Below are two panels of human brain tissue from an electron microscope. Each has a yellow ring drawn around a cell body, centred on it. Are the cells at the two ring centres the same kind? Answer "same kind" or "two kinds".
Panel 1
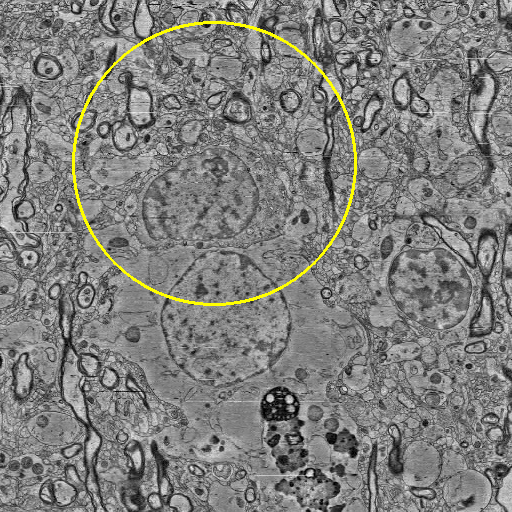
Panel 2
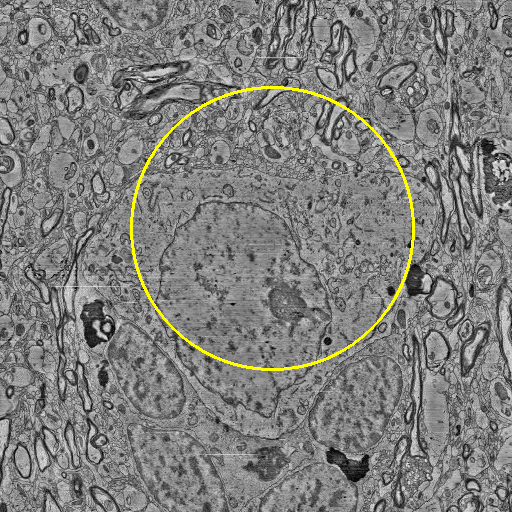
two kinds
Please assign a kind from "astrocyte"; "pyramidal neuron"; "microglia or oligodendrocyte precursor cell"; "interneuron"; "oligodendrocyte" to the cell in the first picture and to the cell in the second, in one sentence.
In the first picture we have an oligodendrocyte, and in the second, a pyramidal neuron.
